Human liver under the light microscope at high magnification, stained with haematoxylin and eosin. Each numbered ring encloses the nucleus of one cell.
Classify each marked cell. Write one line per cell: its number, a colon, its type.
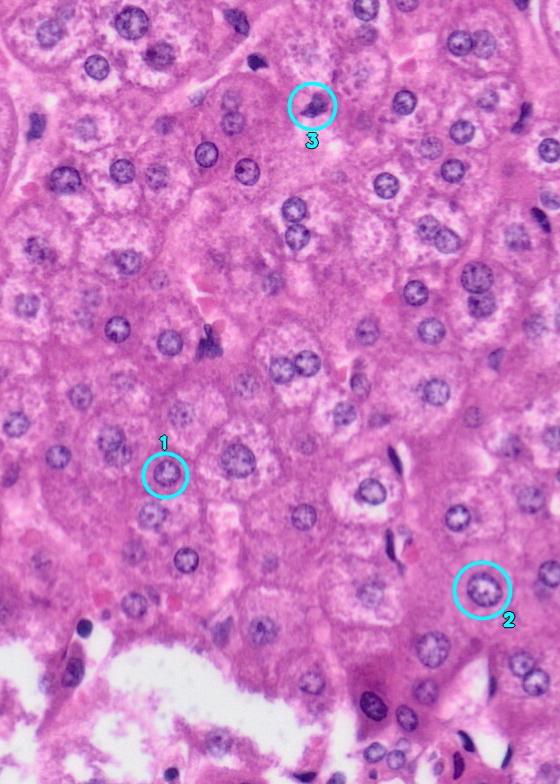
1: hepatocyte
2: hepatocyte
3: endothelial cell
